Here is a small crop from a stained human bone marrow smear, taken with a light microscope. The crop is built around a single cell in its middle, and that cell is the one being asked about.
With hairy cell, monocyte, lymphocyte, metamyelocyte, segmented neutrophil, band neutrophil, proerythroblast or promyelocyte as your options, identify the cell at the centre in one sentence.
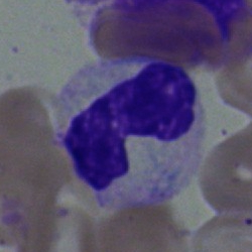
Classification of the middle cell gives a band neutrophil.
